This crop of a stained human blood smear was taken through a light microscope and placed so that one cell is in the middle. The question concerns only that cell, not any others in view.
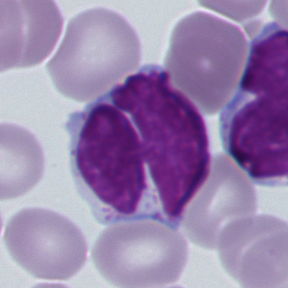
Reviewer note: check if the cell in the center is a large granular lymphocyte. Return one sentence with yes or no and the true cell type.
Yes, the cell at the crop's center is a large granular lymphocyte.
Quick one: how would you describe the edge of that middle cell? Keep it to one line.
The margin of this cell is irregular, showing raggedness or projections instead of smoothness.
